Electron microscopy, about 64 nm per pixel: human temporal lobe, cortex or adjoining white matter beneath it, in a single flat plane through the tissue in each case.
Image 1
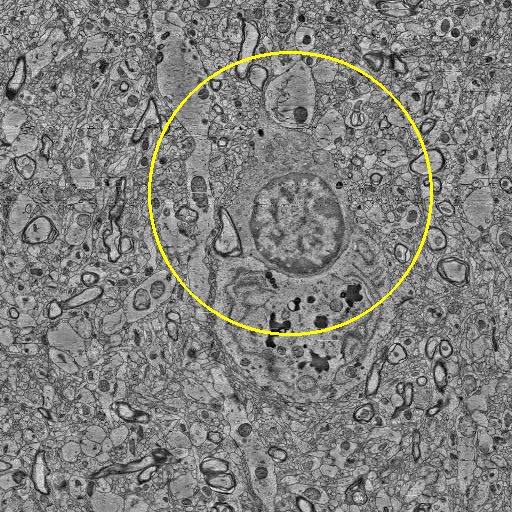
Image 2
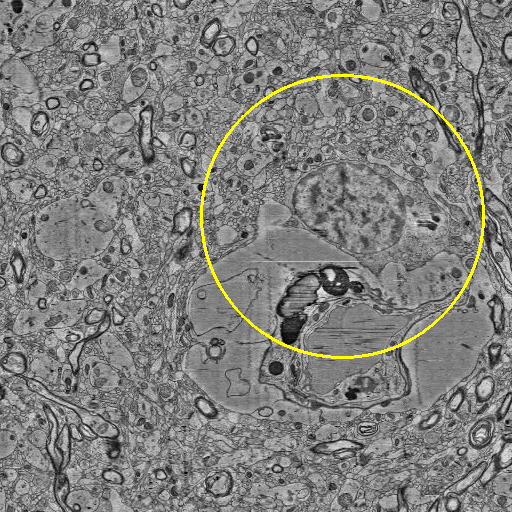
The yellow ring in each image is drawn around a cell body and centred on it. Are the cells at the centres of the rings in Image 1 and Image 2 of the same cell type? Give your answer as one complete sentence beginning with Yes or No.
Yes, both cells are of the same type.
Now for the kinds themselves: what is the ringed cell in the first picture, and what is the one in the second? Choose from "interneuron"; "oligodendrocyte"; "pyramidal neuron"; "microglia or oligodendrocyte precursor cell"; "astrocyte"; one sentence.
Both the first and the second picture show an oligodendrocyte in the ring.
